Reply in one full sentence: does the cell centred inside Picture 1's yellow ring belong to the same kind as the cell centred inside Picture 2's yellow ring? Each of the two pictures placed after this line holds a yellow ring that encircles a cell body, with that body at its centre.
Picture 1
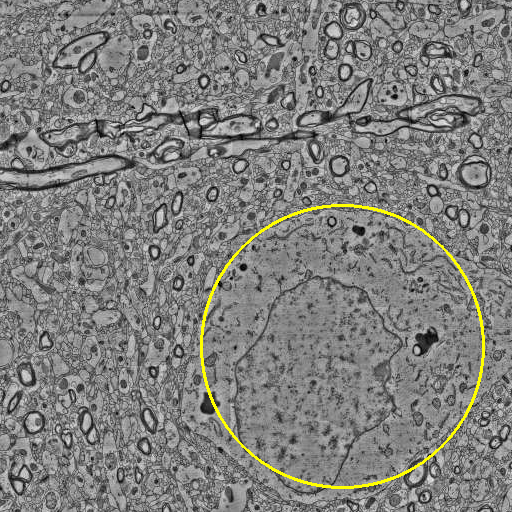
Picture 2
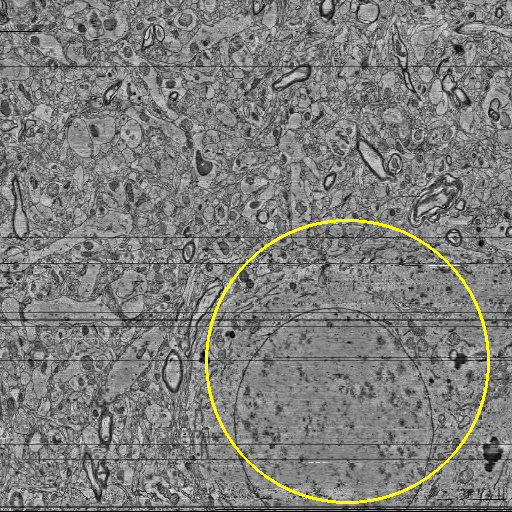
Yes, the ring-centred cells in Picture 1 and Picture 2 are of one and the same kind.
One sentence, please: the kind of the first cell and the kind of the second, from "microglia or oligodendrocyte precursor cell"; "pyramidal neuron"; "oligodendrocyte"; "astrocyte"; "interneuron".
Each one of the two ringed cells is a pyramidal neuron.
